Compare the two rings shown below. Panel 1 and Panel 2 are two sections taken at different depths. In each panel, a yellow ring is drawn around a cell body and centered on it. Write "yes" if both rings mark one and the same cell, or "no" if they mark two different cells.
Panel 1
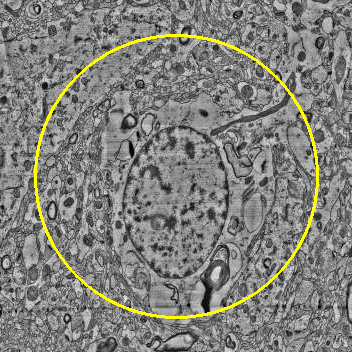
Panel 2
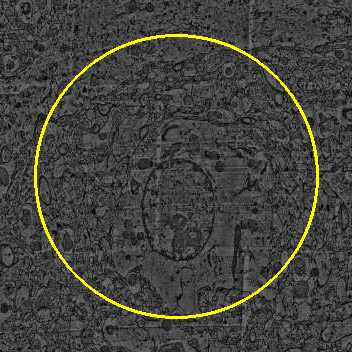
yes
